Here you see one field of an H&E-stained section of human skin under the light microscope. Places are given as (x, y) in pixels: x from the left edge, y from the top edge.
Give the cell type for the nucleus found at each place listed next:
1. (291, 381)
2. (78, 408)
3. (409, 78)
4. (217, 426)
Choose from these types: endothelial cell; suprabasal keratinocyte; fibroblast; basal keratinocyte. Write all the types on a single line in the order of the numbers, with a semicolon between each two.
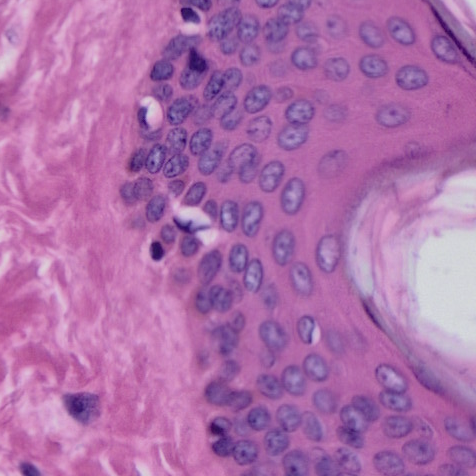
suprabasal keratinocyte; fibroblast; suprabasal keratinocyte; basal keratinocyte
